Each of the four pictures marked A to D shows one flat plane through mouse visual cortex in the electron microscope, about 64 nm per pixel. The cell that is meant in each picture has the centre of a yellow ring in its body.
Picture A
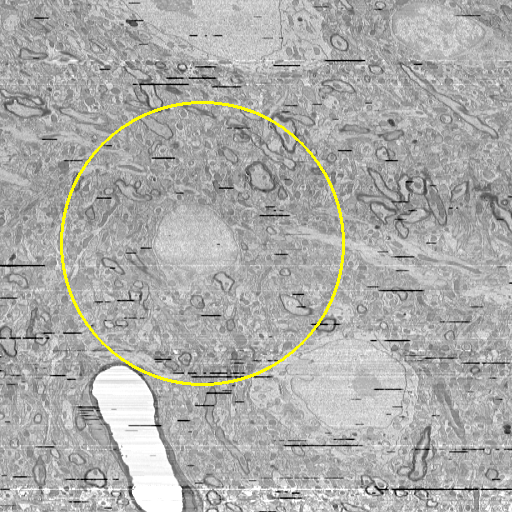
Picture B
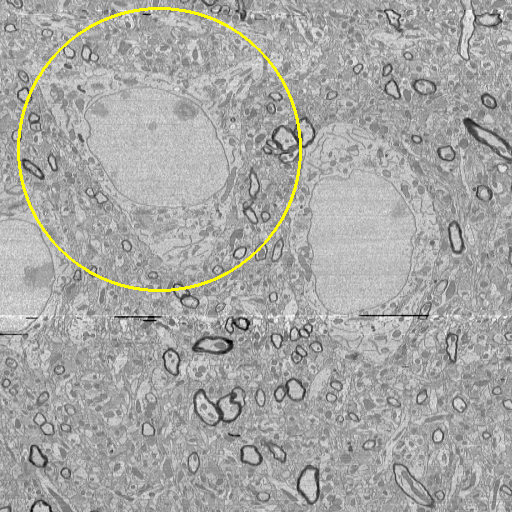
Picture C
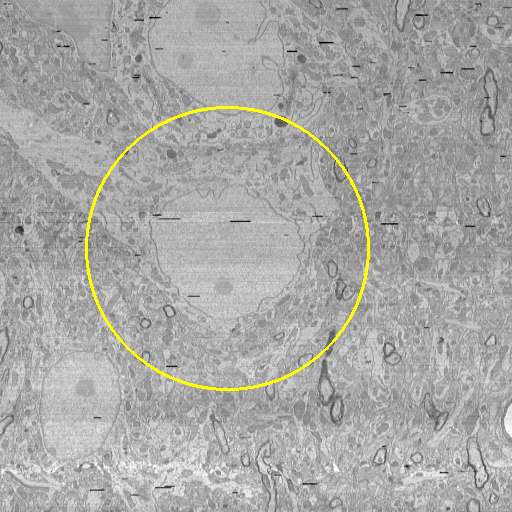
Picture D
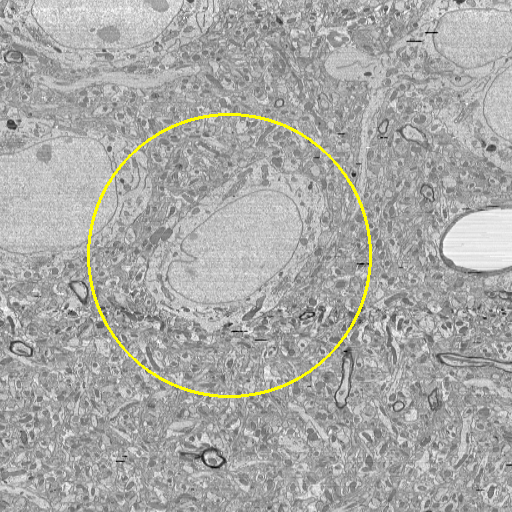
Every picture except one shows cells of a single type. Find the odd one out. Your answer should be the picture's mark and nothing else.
A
